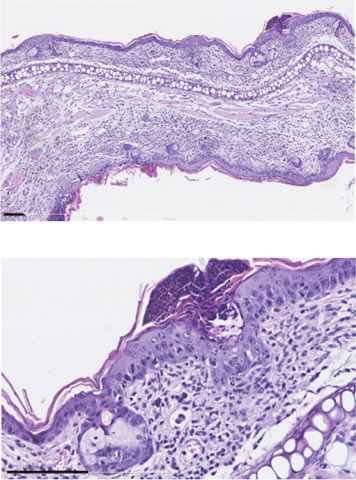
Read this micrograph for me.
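This is a section through ear skin, with a stratified squamous epidermis on the surface, a dermis beneath, and a central plate of cartilage made of rows of pale, vacuolated cells. At low magnification the tissue is thick, and the dermis on both sides of the cartilage is crowded with small, darkly stained nuclei. At higher magnification the epidermis is thickened and irregular, with many nuclei in its layers. A dense, dark purple cluster of cells sits on the epidermal surface. The dermis beneath holds a dense infiltrate of small round cells lying between pink collagen fibres and small vessels.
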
